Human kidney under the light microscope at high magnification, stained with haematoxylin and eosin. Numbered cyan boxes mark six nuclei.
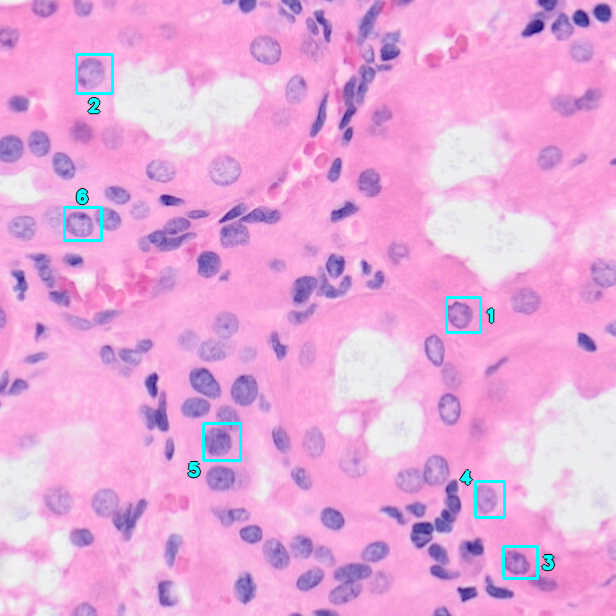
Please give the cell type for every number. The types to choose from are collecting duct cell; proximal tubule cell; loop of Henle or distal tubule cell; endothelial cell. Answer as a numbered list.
1. proximal tubule cell
2. proximal tubule cell
3. proximal tubule cell
4. proximal tubule cell
5. collecting duct cell
6. collecting duct cell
